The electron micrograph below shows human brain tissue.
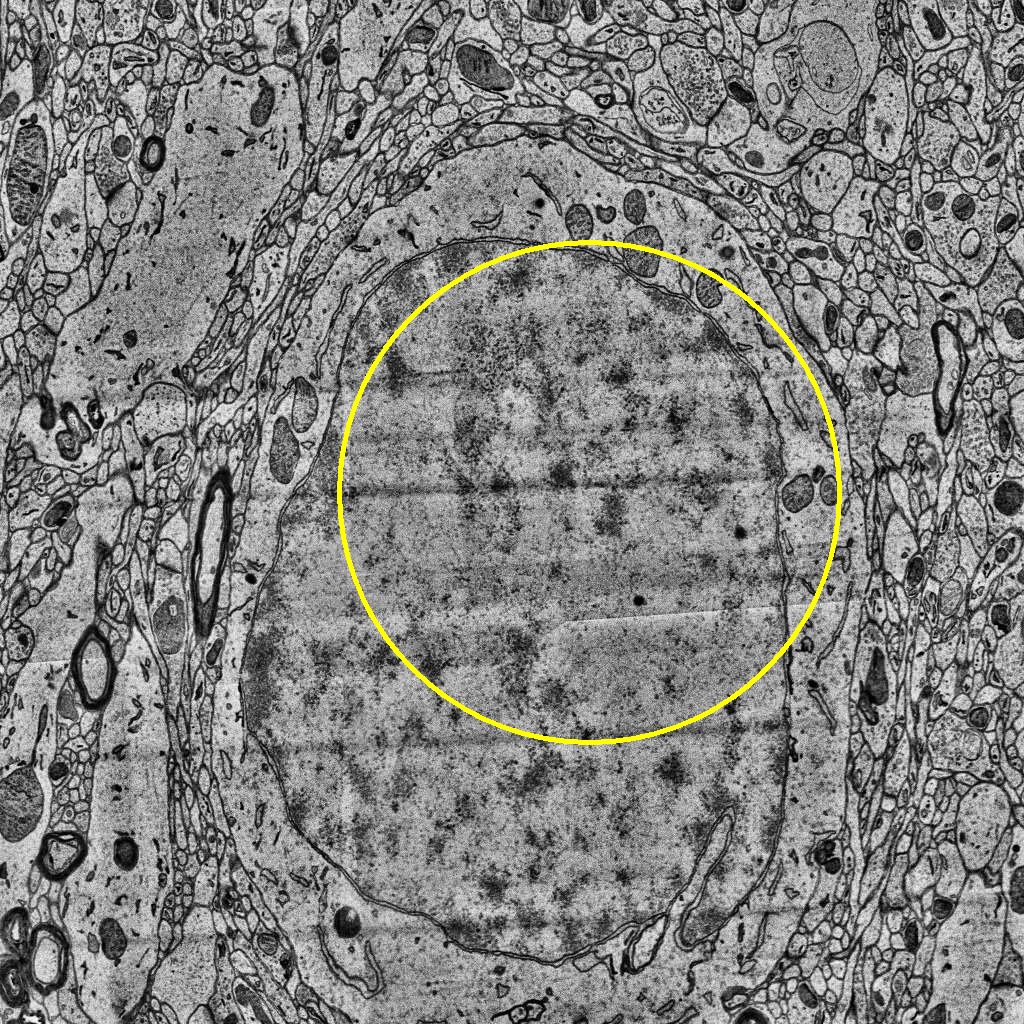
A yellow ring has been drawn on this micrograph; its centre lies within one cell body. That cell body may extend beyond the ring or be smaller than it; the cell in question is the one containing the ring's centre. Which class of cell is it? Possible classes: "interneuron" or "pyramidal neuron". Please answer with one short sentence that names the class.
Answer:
In the centre of the ring sits an interneuron.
